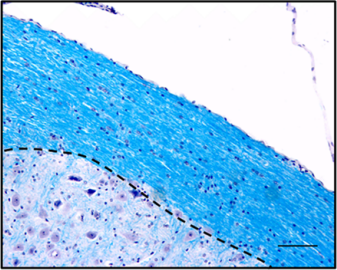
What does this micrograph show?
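Spinal cord white matter forms a broad turquoise-blue band of parallel fibres with only sparse small nuclei scattered along it. Beneath the dashed line the gray matter stains pale and holds several large rounded cell bodies.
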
